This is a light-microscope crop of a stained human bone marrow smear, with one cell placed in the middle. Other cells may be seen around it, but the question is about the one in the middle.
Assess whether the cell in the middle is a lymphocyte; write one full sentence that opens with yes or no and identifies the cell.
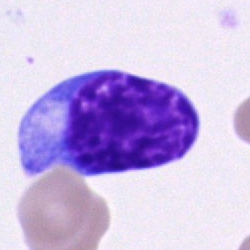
No, that is not a lymphocyte; the middle cell is a blast.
